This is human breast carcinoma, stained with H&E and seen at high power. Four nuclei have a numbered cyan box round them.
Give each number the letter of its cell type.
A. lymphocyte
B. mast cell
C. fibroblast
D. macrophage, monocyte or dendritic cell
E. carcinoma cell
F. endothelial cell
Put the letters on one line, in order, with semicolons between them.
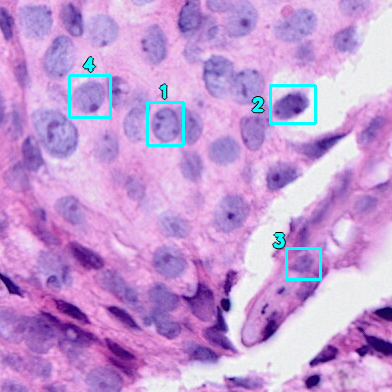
E; E; F; E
